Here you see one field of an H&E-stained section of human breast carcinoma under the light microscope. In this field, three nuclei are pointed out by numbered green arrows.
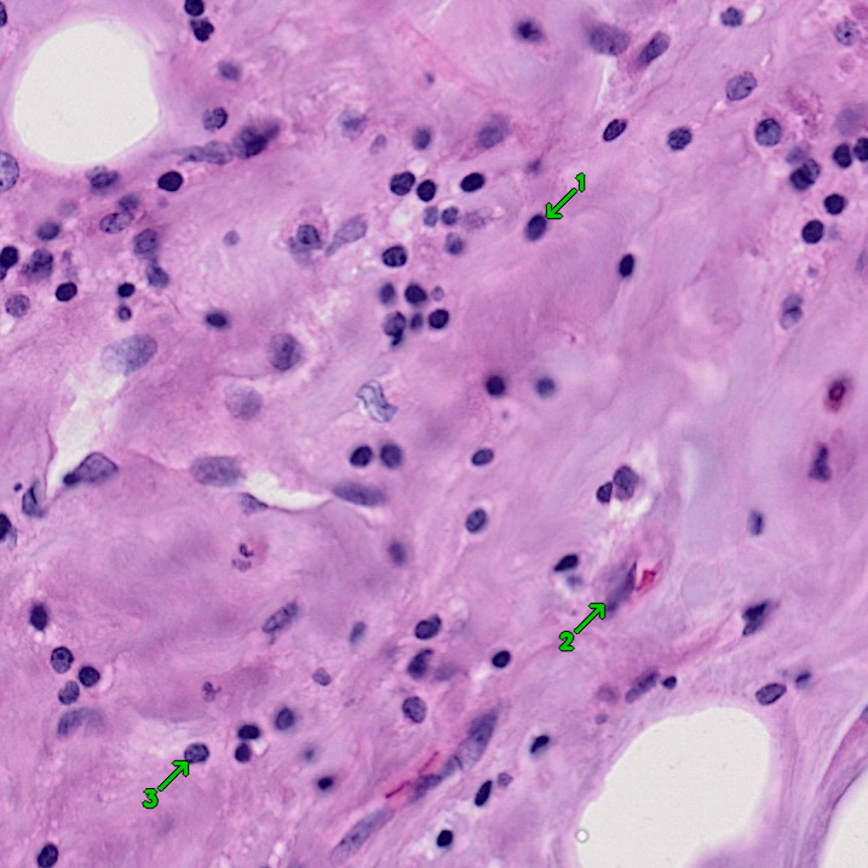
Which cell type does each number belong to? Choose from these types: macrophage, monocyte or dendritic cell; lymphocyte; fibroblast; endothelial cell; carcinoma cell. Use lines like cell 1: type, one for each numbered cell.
cell 1: lymphocyte
cell 2: endothelial cell
cell 3: lymphocyte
